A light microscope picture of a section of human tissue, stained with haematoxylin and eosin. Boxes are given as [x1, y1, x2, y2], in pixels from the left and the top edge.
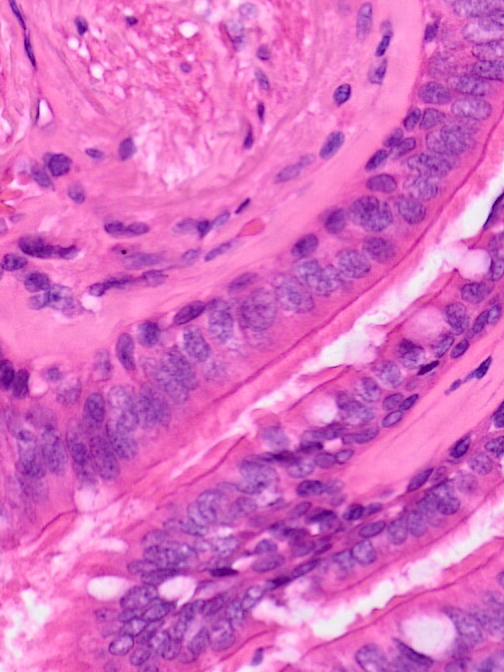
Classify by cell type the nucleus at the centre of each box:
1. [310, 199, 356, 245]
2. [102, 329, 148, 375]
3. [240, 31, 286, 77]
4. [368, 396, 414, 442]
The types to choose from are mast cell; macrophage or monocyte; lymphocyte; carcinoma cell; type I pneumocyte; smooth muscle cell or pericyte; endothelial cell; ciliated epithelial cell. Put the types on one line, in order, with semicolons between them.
ciliated epithelial cell; ciliated epithelial cell; smooth muscle cell or pericyte; ciliated epithelial cell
